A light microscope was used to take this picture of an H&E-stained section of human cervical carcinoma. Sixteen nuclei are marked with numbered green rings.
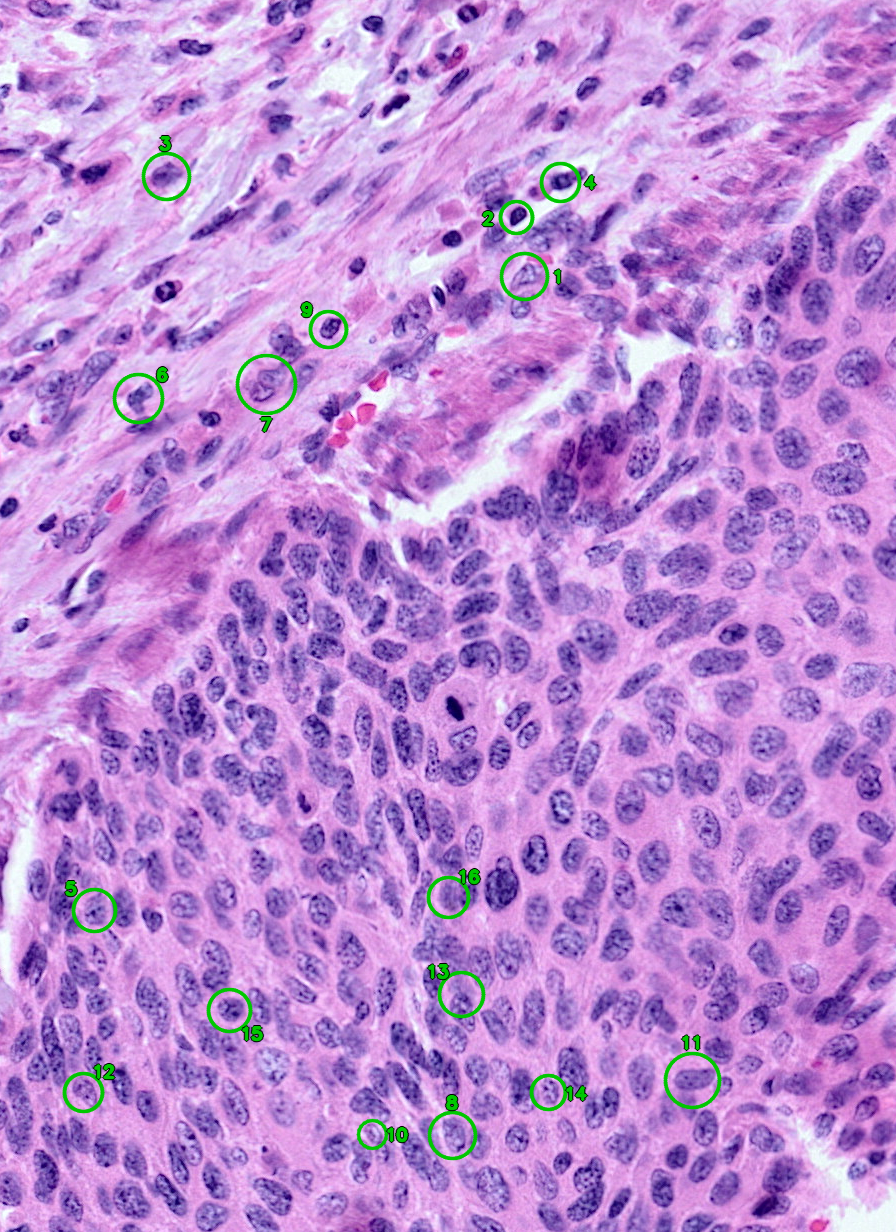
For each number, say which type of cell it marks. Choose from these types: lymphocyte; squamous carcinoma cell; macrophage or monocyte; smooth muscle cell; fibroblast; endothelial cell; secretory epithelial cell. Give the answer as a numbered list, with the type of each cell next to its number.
1. endothelial cell
2. lymphocyte
3. macrophage or monocyte
4. lymphocyte
5. squamous carcinoma cell
6. lymphocyte
7. endothelial cell
8. squamous carcinoma cell
9. lymphocyte
10. squamous carcinoma cell
11. squamous carcinoma cell
12. squamous carcinoma cell
13. squamous carcinoma cell
14. squamous carcinoma cell
15. squamous carcinoma cell
16. squamous carcinoma cell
